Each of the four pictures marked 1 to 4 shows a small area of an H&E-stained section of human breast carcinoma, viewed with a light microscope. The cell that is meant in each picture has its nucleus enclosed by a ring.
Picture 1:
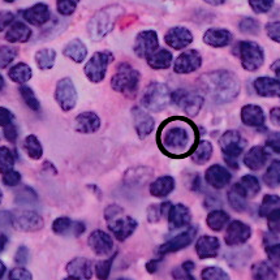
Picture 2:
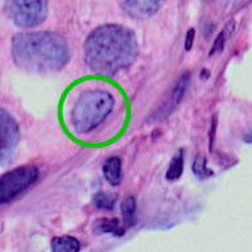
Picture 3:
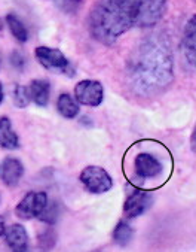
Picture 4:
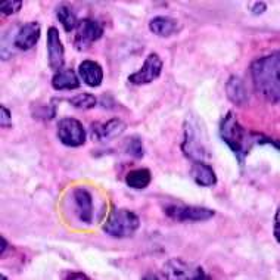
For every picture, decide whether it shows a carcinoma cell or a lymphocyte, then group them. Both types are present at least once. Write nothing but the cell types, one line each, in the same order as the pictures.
lymphocyte
carcinoma cell
lymphocyte
lymphocyte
